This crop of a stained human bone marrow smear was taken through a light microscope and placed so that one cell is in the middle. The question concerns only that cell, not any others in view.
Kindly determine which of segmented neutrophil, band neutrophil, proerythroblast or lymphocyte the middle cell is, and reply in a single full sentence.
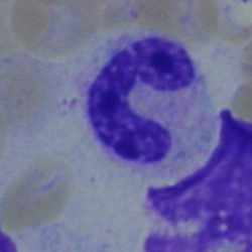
Looking at the middle of the crop, the cell there is a band neutrophil.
